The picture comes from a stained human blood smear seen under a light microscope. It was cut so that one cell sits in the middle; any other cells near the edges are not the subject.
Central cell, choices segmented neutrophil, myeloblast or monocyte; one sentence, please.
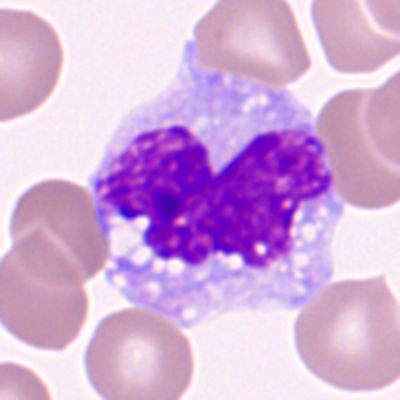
The cell of interest, in the center, is a monocyte.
